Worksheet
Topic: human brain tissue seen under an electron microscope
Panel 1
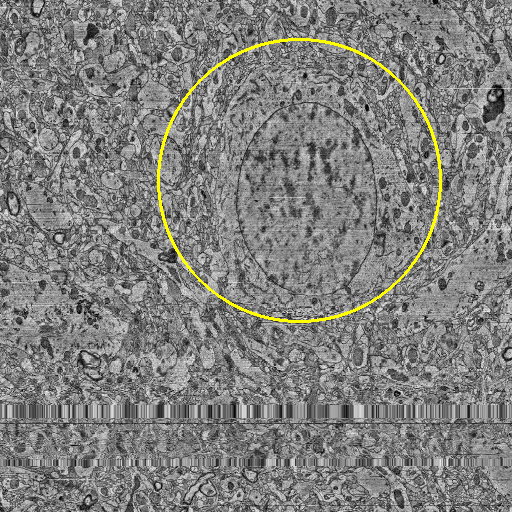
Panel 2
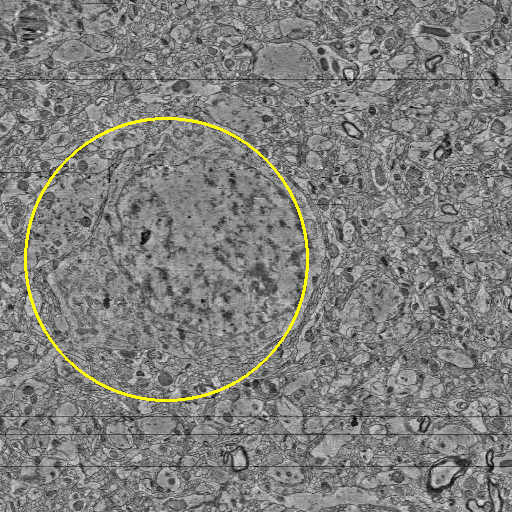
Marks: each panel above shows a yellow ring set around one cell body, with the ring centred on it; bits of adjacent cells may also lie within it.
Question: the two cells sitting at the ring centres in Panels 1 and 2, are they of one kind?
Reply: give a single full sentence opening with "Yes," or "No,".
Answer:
No, the two ring-centre cells in Panel 1 and Panel 2 are of two kinds.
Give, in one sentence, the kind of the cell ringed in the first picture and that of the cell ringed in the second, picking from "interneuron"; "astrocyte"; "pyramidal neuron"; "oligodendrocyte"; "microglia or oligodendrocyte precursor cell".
For the first picture it is a pyramidal neuron; for the second, an interneuron.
